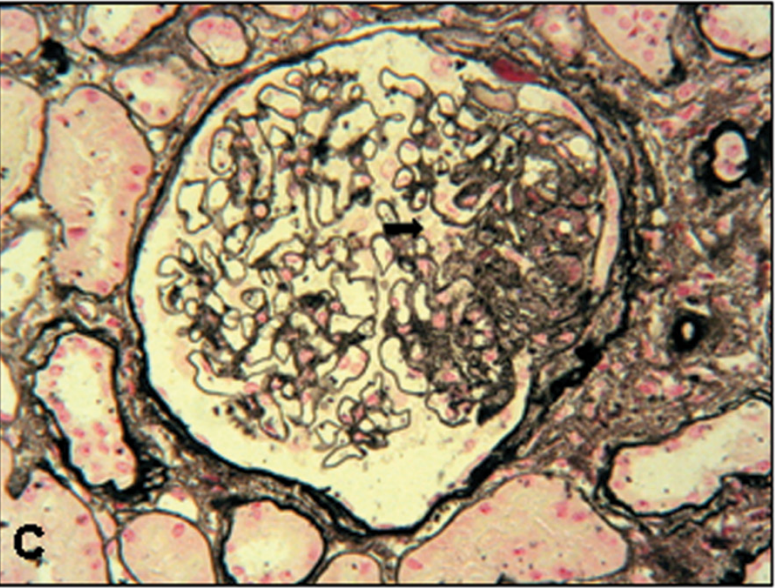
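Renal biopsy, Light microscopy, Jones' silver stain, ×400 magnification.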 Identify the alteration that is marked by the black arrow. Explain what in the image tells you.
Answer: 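A glomerulus fills the centre, surrounded by tubules. On the right of the tuft the capillary loops are collapsed into a dense, dark, silver-stained mass. The rest of the tuft keeps open, thin-walled capillary loops.
Focal glomerulosclerosis.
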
